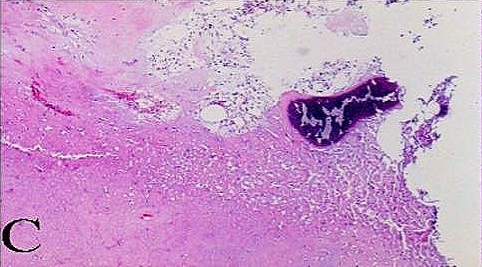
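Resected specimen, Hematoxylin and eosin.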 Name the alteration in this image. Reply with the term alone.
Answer: Calcified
